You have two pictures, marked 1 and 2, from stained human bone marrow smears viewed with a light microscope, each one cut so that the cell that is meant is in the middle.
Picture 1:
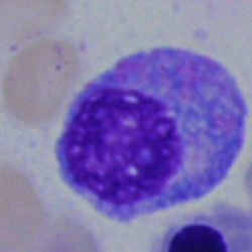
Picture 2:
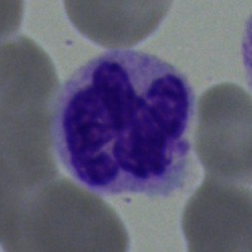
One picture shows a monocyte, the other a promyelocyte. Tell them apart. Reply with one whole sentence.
Picture 1 shows a promyelocyte and picture 2 shows a monocyte.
